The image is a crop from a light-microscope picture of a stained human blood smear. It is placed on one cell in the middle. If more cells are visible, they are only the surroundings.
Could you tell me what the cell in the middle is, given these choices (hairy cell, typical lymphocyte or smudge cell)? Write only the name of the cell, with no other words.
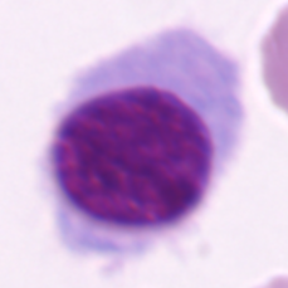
hairy cell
